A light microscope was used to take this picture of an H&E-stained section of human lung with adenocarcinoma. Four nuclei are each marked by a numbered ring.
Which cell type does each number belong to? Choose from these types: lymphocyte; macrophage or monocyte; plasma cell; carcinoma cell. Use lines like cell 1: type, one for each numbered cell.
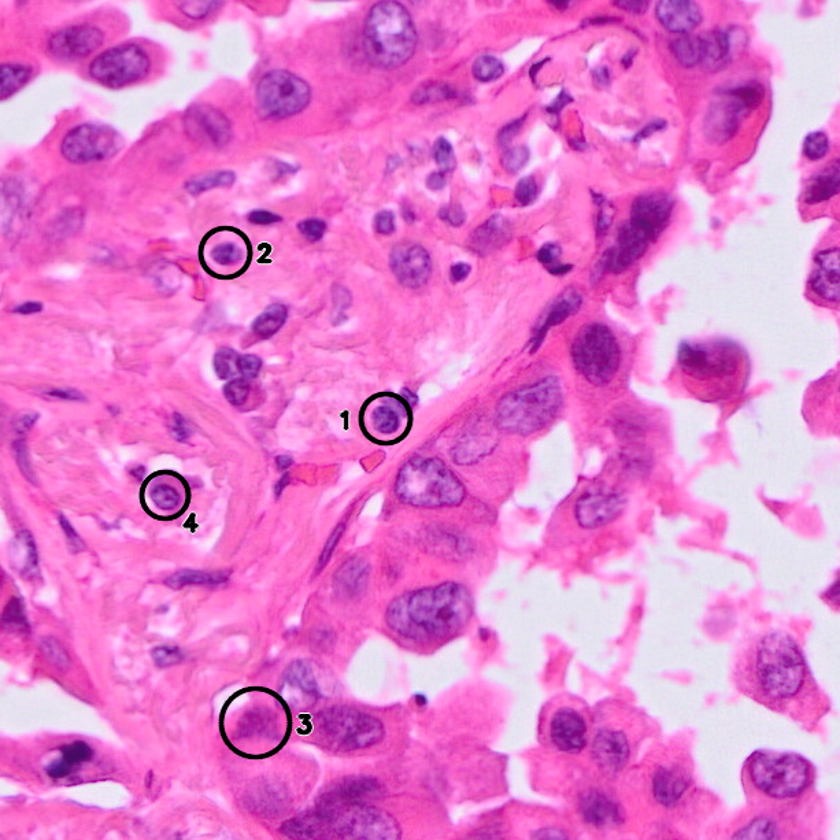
cell 1: lymphocyte
cell 2: lymphocyte
cell 3: carcinoma cell
cell 4: plasma cell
